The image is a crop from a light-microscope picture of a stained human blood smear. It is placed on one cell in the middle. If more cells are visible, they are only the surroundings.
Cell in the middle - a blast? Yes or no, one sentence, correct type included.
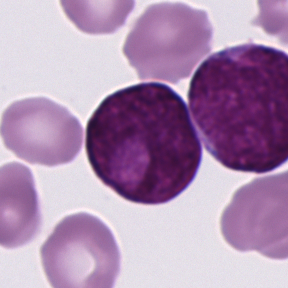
Yes, the cell at the very centre of the crop is a blast.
